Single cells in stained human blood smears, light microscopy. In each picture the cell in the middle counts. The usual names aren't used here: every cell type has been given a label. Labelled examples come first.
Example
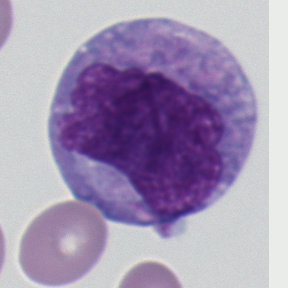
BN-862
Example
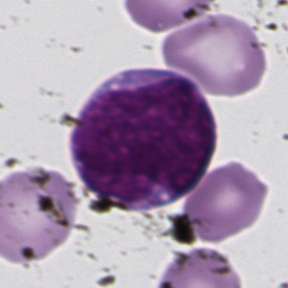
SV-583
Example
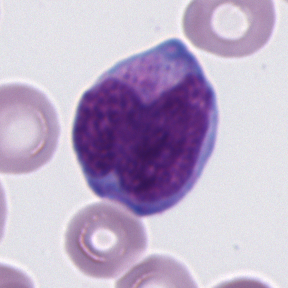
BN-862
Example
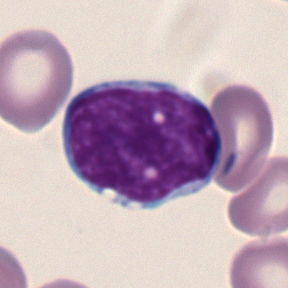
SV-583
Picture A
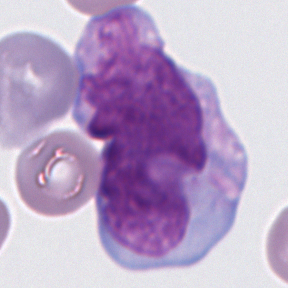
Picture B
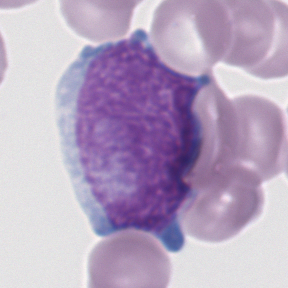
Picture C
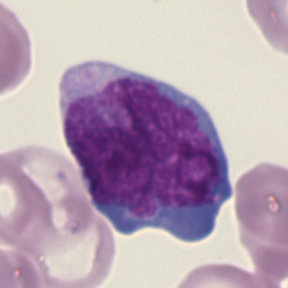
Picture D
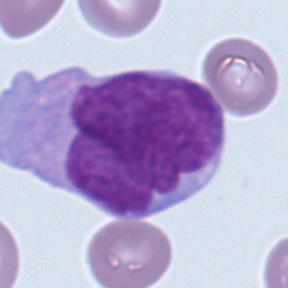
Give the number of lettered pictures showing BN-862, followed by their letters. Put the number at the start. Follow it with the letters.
2, namely A, D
